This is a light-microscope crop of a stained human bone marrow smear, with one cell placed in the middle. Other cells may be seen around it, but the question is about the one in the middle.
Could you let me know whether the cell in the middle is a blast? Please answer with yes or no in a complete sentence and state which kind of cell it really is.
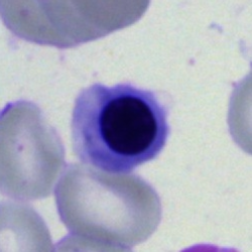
No, the centrally located cell is an erythroblast rather than a blast.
